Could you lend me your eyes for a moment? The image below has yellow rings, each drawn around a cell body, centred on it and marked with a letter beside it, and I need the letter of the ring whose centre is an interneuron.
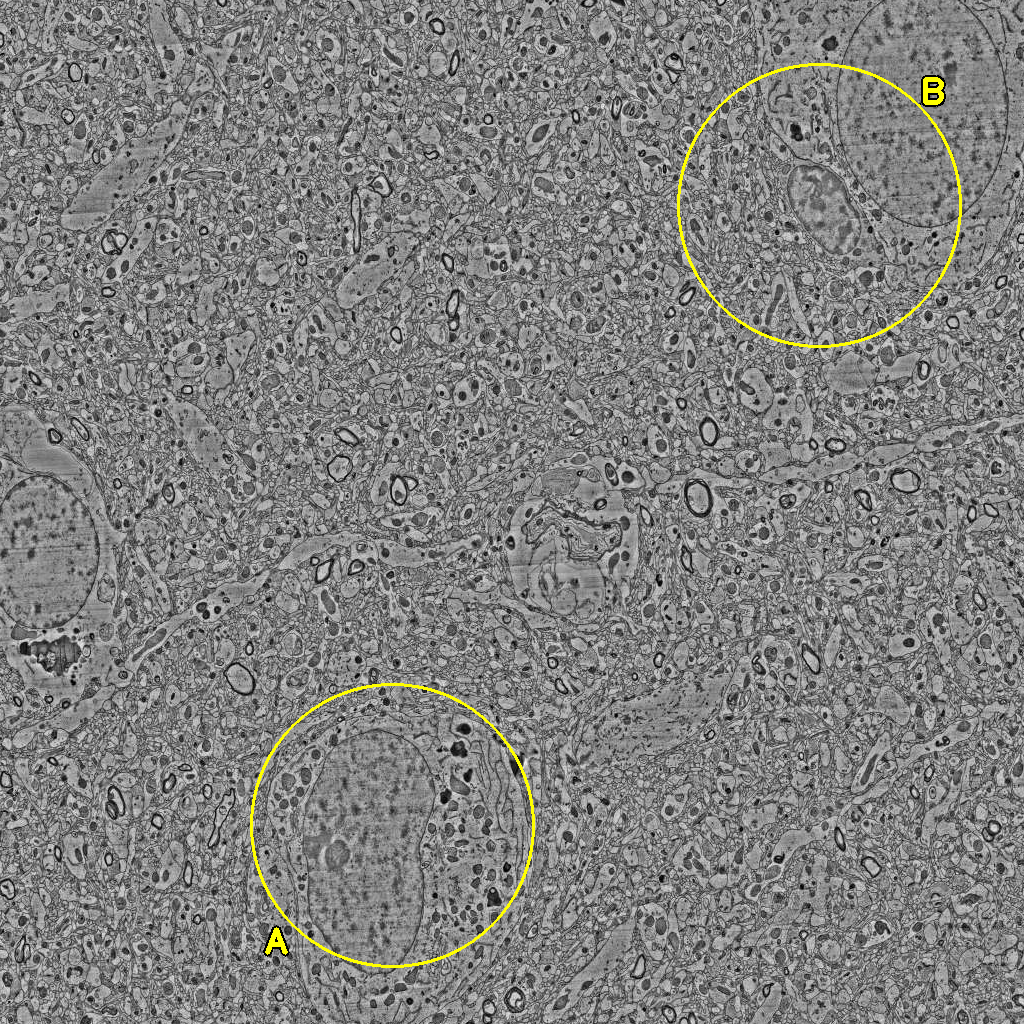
A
